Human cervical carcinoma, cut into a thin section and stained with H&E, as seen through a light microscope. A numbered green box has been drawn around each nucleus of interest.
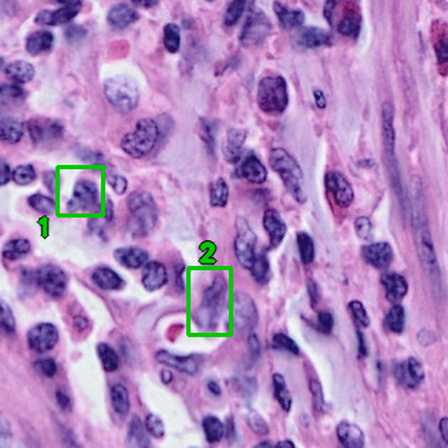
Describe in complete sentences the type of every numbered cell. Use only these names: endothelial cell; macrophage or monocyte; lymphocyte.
Cell 1 is a lymphocyte and cell 2 is an endothelial cell.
